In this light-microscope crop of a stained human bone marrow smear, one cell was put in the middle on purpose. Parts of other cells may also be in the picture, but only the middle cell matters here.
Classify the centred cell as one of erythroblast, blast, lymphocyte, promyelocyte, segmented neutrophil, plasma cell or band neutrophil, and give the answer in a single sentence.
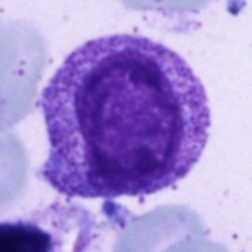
The crop's centre is taken up by a promyelocyte.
